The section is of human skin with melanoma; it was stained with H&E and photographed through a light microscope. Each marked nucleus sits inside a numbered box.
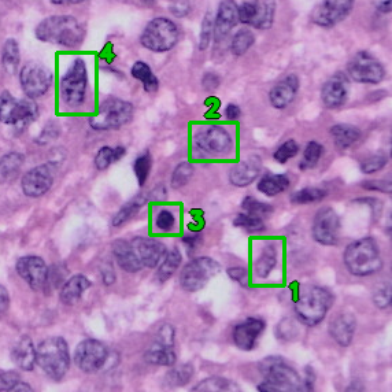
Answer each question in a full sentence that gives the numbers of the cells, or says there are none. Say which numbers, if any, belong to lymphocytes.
Nothing but cell 3 is a lymphocyte among the numbered ones.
